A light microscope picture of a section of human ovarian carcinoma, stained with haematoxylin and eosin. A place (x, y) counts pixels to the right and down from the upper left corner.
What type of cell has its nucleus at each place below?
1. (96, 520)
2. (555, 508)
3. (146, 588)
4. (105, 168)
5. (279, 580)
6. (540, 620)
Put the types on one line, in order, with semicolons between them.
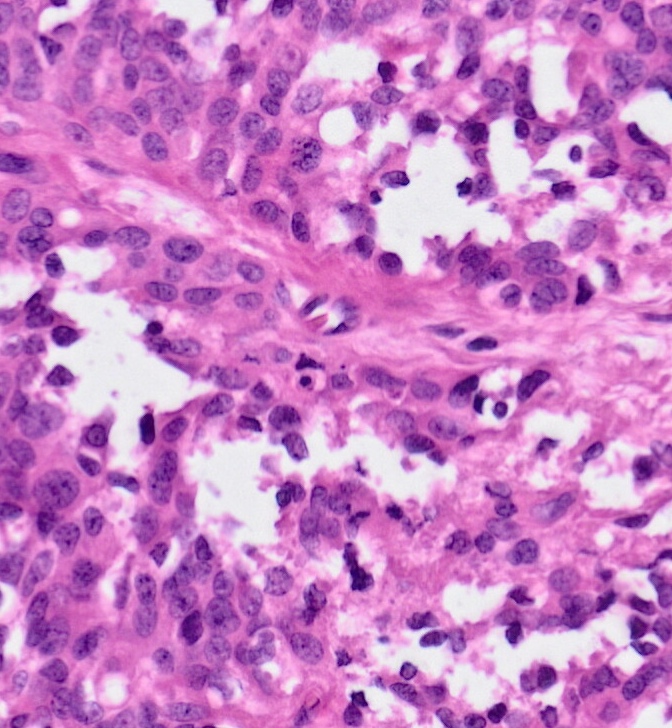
macrophage or monocyte; endothelial cell; macrophage or monocyte; fibroblast; macrophage or monocyte; carcinoma cell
